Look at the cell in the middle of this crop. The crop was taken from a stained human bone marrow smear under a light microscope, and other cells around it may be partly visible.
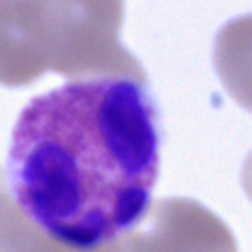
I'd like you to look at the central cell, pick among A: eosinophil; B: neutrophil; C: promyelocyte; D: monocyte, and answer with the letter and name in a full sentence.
The correct response is option A, naming the cell in the middle as an eosinophil.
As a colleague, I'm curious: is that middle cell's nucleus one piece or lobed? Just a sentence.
Segmentation of the nucleus into two or more lobes is the finding.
